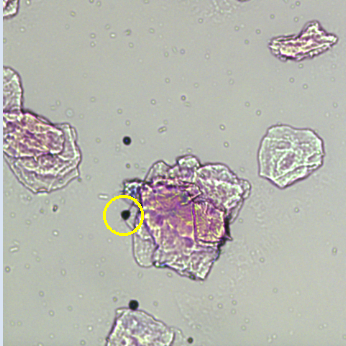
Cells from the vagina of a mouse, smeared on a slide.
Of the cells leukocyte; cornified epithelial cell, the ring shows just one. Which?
The ring shows a leukocyte.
